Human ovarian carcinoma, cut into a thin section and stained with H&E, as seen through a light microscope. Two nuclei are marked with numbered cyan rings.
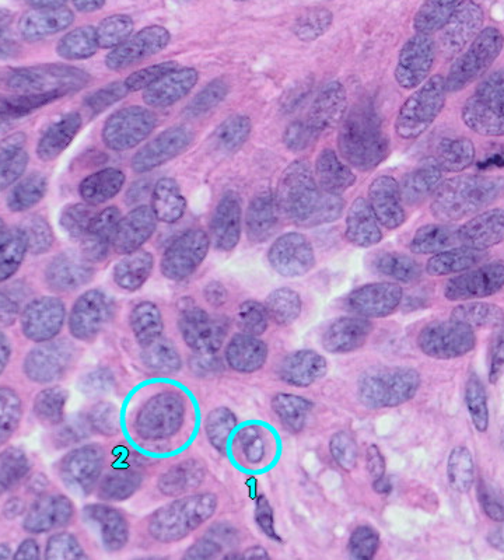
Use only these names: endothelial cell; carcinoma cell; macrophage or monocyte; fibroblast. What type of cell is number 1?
fibroblast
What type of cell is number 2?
carcinoma cell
